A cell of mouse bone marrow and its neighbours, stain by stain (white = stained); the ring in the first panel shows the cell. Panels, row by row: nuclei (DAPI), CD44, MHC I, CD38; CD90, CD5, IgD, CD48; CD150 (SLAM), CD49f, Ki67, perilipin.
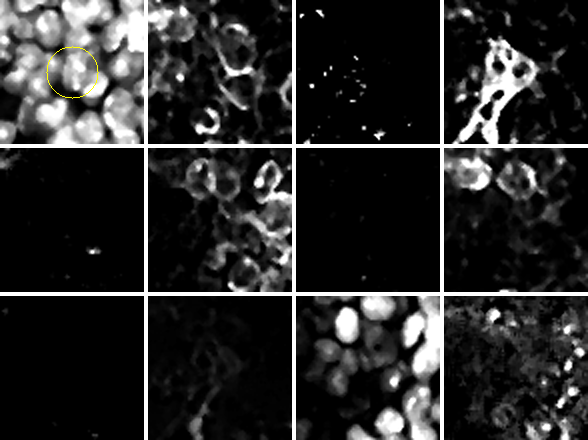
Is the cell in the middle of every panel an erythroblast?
No, it is a capillary endothelial cell.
